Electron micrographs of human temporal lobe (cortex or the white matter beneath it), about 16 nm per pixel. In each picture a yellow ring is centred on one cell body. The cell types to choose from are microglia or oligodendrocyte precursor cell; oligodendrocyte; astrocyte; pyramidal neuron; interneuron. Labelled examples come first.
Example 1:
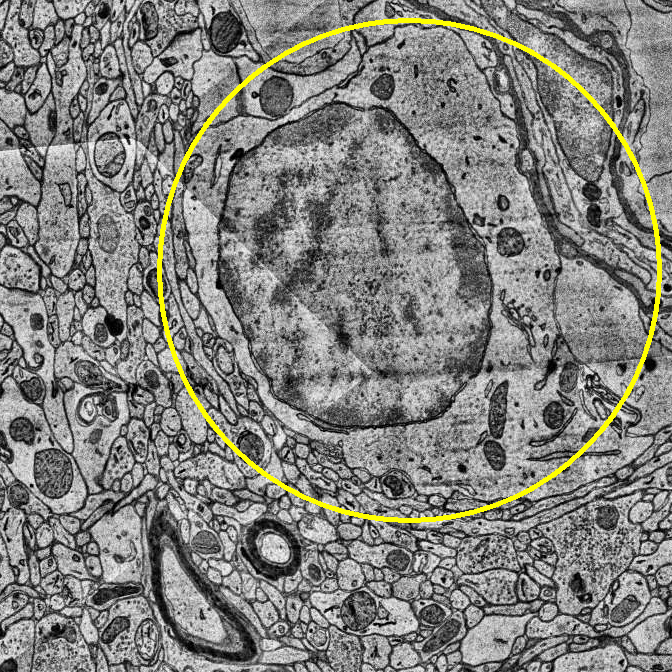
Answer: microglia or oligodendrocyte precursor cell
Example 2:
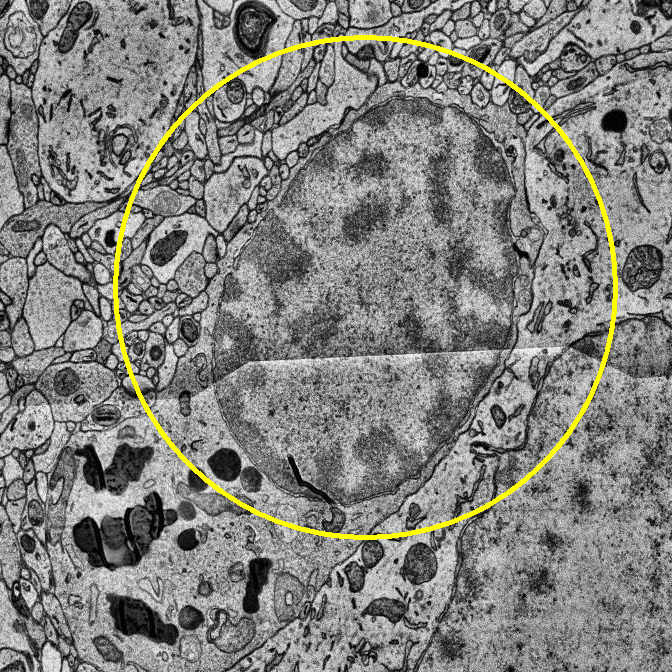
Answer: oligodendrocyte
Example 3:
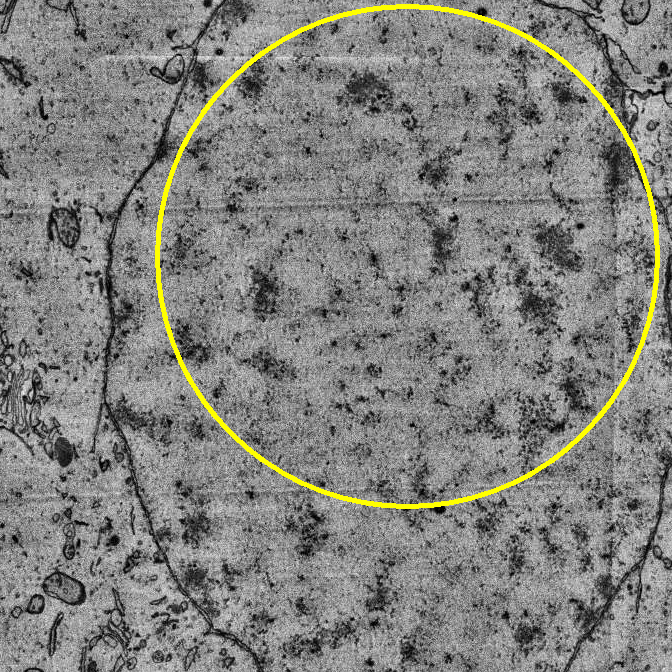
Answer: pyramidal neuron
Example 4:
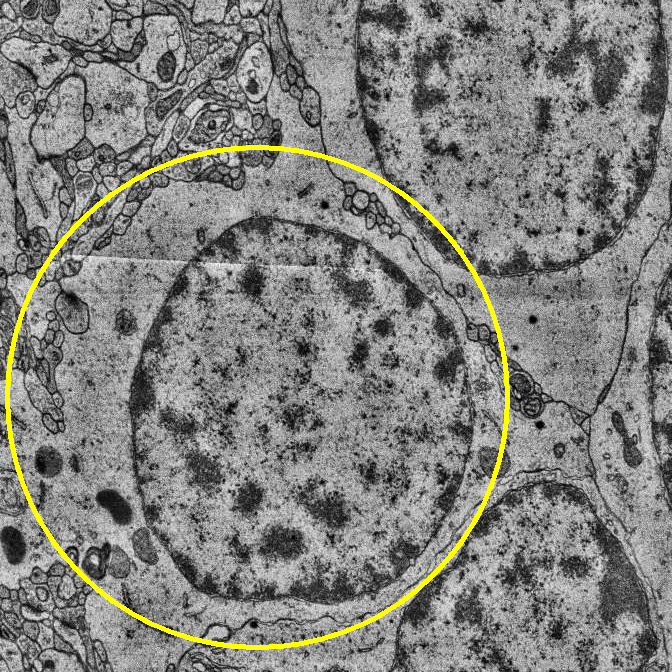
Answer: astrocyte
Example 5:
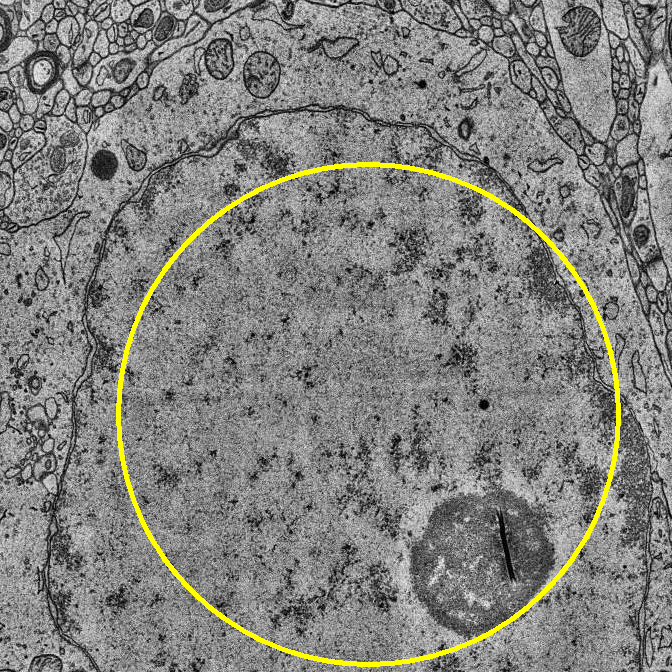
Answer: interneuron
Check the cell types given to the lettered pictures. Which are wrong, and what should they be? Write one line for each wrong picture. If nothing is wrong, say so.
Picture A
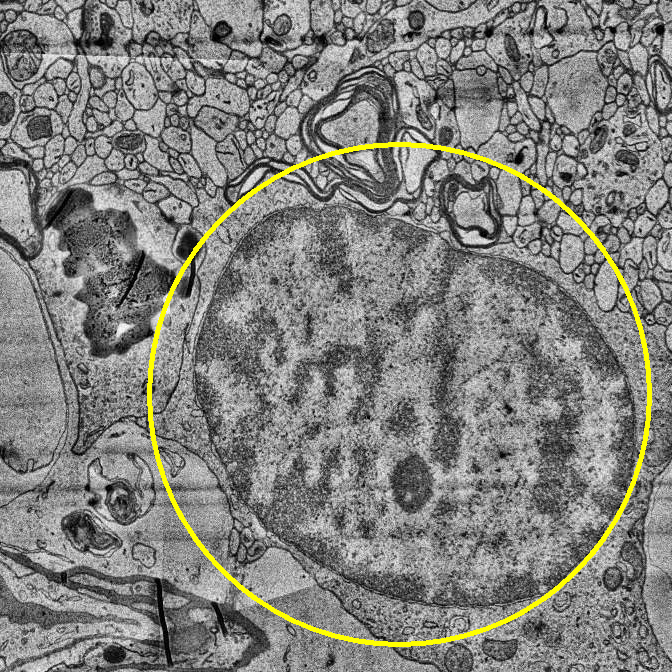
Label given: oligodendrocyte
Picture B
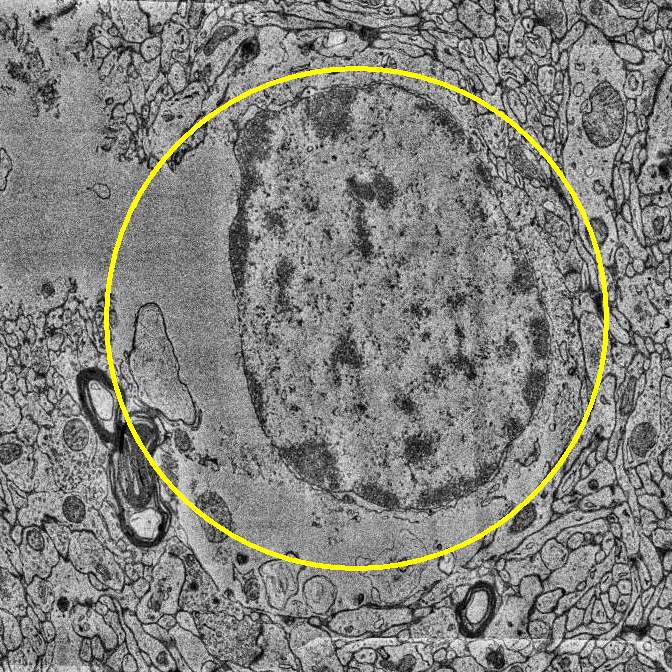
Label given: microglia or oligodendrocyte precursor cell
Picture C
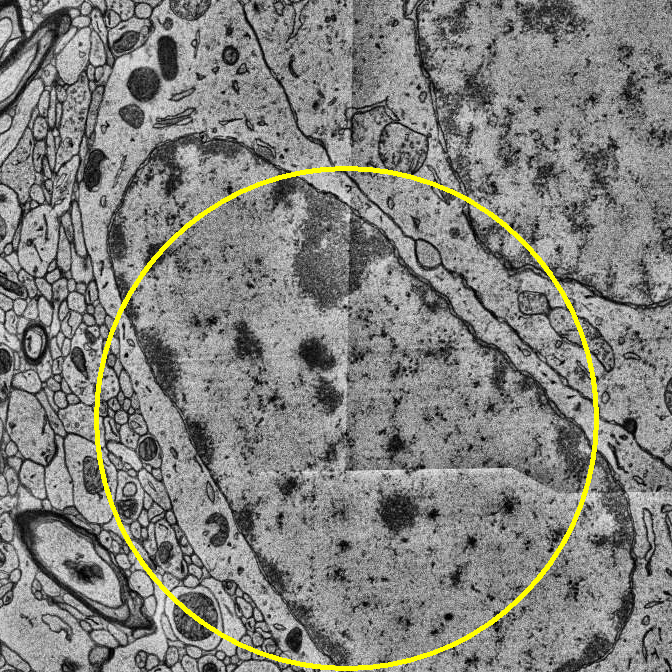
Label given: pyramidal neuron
C: microglia or oligodendrocyte precursor cell, not pyramidal neuron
